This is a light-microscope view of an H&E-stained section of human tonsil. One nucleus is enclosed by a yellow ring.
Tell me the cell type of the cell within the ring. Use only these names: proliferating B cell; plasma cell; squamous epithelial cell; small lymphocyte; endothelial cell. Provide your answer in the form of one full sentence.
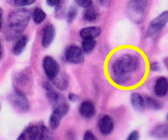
In this preparation, the cell within the ring is an endothelial cell.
